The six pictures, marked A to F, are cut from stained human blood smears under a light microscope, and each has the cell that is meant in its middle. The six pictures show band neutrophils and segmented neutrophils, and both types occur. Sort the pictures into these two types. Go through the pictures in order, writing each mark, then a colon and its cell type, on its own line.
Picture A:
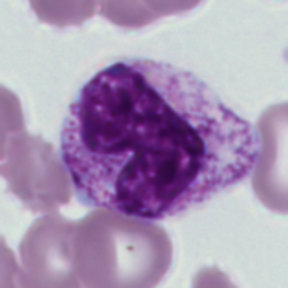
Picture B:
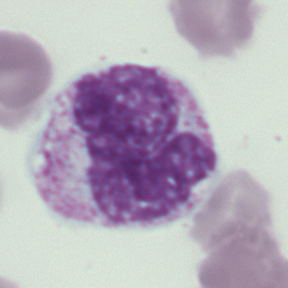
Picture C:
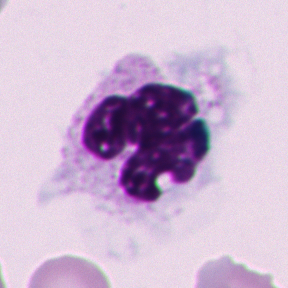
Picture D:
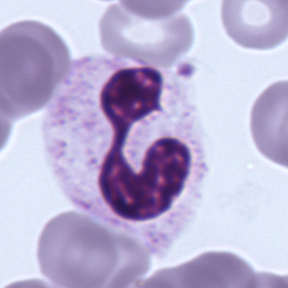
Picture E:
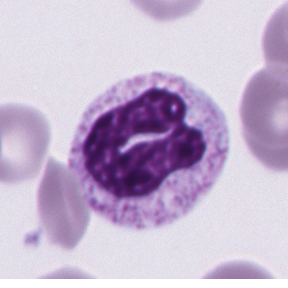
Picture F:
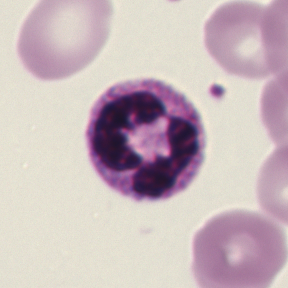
A: band neutrophil
B: band neutrophil
C: segmented neutrophil
D: segmented neutrophil
E: segmented neutrophil
F: segmented neutrophil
